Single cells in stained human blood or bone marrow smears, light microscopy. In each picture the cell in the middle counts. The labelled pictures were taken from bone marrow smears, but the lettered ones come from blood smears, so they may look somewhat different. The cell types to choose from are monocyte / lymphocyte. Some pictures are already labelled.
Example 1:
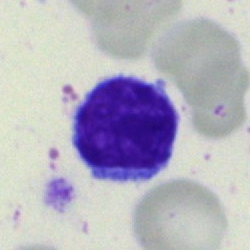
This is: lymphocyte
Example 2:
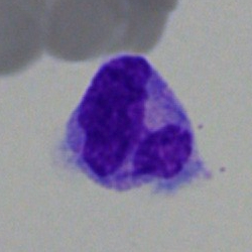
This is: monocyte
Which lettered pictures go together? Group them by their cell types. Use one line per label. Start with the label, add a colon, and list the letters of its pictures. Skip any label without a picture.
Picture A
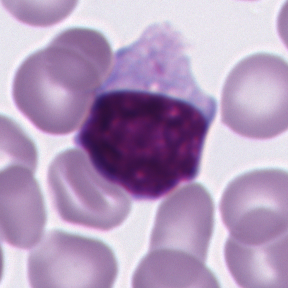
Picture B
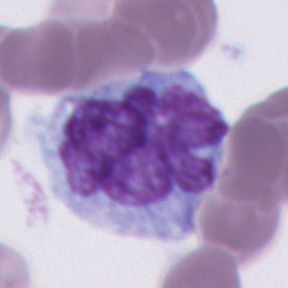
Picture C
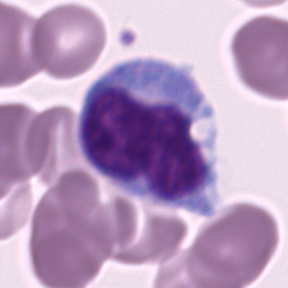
monocyte: B, C
lymphocyte: A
